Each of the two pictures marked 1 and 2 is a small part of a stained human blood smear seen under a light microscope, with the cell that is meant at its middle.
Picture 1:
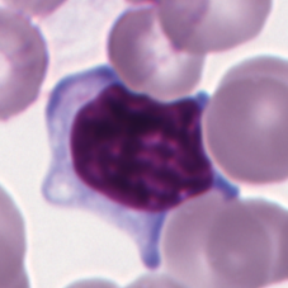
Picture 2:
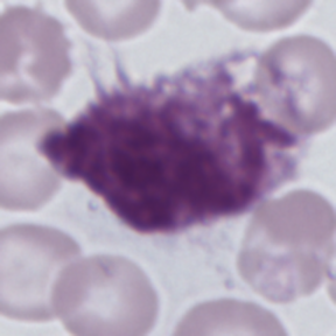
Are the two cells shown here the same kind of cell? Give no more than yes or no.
no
